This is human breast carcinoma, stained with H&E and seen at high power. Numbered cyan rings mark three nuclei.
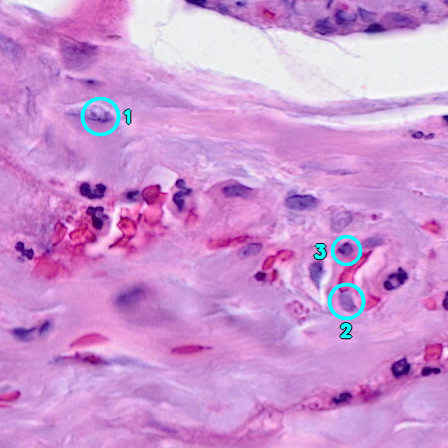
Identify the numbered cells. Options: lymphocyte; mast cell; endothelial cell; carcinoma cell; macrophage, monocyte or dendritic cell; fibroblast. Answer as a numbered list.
1. fibroblast
2. endothelial cell
3. endothelial cell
